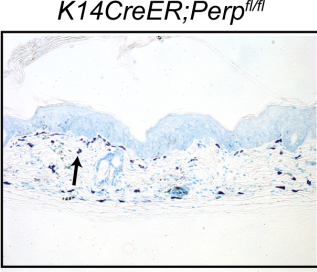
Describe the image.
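Section of skin with mast cells crowded in the upper dermis. The epidermis forms a pale blue, somewhat thickened and undulating surface layer. Directly beneath it, many small oval to spindle-shaped cells stained dark purple form a dense band in the pale blue dermal connective tissue; an arrow marks one of them. A faint layer of loose material lies above the skin surface. Background tissue is otherwise lightly tinted blue with little contrast.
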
